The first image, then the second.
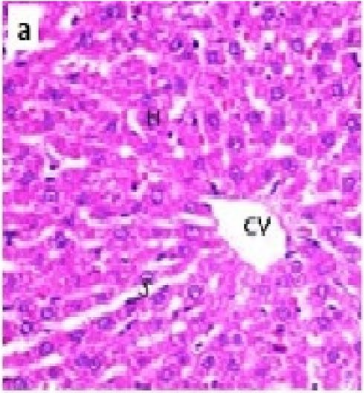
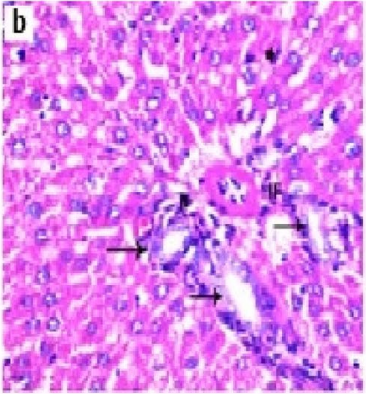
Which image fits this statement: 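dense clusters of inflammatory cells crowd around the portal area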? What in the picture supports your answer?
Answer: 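Second image: many small dark-blue nuclei are packed around the vessels and ducts of the portal area. First image: liver cords around the central vessel without dense clusters of small dark nuclei. So: the second image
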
